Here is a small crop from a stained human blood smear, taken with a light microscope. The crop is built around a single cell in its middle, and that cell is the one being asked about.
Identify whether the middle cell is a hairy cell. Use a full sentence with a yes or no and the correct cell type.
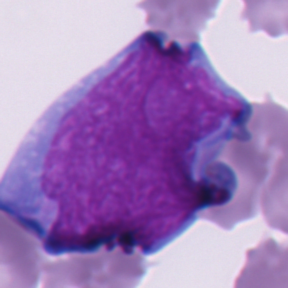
No, not a hairy cell here; the centered cell is a myeloblast.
